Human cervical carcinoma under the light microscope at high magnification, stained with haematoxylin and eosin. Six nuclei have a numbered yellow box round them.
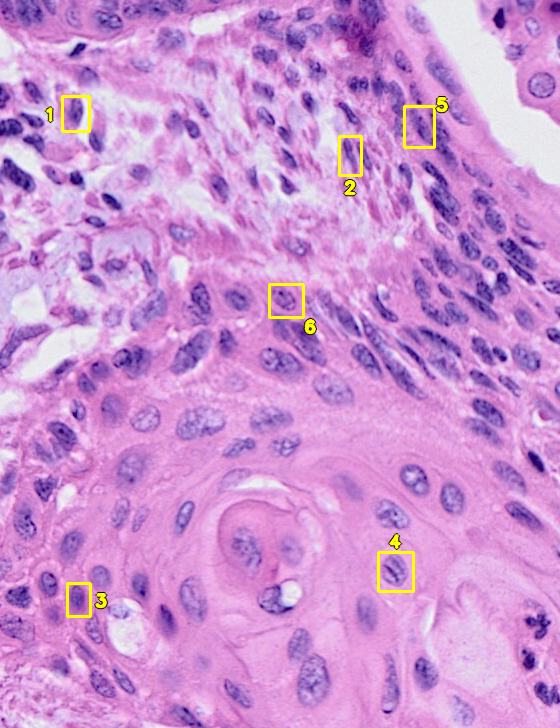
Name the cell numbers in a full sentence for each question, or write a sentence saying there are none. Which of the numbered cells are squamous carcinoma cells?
The cells 3, 4, 5 and 6 in this section are squamous carcinoma cells.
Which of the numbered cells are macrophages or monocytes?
Cell 1 is a macrophage or monocyte, whereas each of the other numbered cells is not.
